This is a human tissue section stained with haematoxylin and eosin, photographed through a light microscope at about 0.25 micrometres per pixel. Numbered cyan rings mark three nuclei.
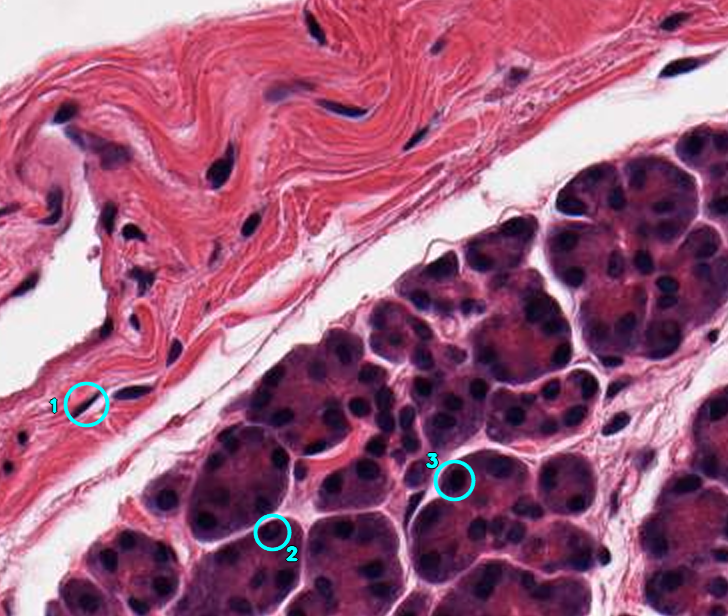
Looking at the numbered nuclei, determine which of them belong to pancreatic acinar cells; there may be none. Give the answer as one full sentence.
The nuclei with labels 2 and 3 belong to pancreatic acinar cells.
